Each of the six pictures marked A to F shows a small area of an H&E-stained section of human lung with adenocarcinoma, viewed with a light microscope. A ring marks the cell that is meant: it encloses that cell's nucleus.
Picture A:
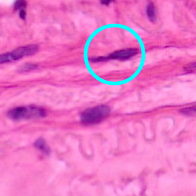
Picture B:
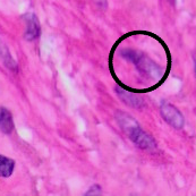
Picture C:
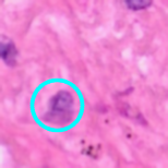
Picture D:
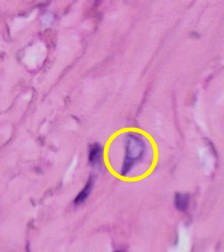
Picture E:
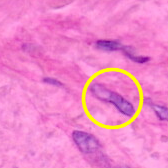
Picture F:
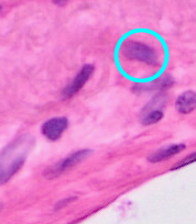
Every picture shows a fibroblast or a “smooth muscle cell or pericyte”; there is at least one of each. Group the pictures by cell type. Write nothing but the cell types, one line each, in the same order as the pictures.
smooth muscle cell or pericyte
smooth muscle cell or pericyte
fibroblast
fibroblast
smooth muscle cell or pericyte
smooth muscle cell or pericyte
